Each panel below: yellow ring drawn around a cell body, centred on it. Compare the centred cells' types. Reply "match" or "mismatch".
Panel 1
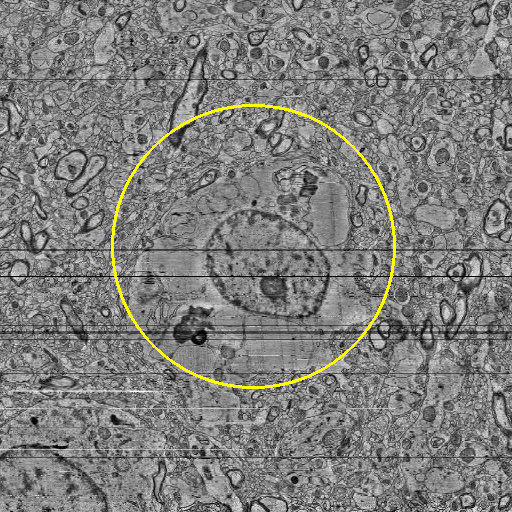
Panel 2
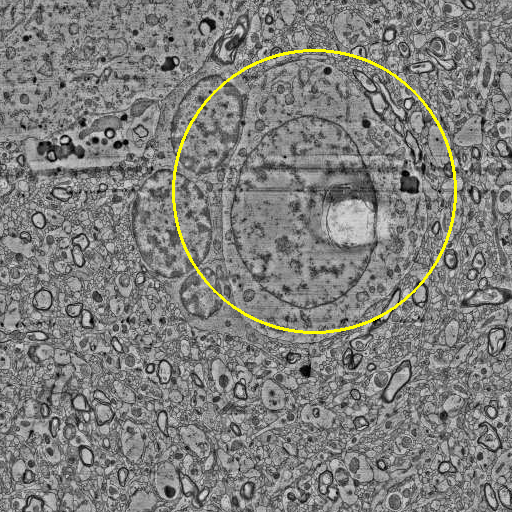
mismatch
